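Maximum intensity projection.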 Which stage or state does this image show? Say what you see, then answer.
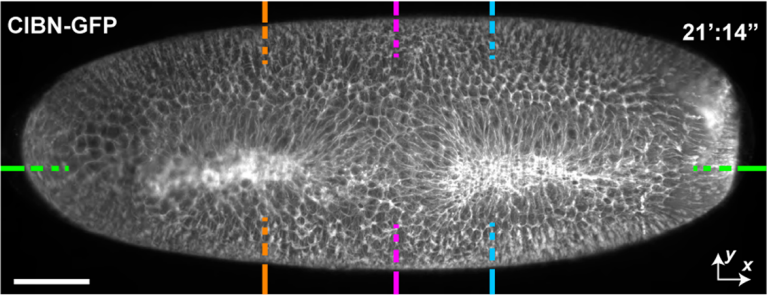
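Cells along the ventral midline are bunched into a bright band. Surrounding cells are stretched and oriented toward the midline. The answer: ventral furrow formation.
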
